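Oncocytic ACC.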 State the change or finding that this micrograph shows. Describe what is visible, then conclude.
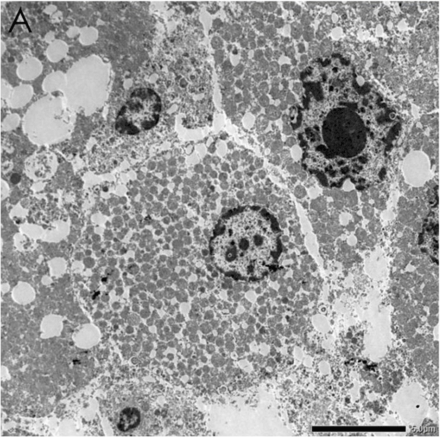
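Nuclei differ in size and outline. One large nucleus has clumped dark chromatin and an irregular border. The answer: nuclear irregularities.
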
